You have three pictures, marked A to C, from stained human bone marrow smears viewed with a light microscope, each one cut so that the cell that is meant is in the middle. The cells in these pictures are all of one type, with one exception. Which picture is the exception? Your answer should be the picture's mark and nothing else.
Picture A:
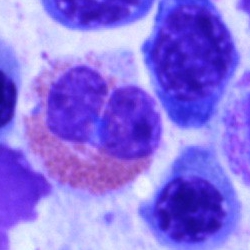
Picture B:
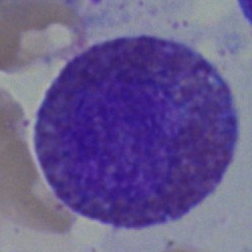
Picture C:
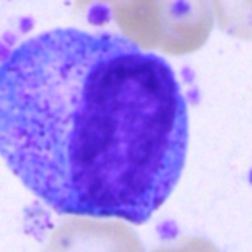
C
